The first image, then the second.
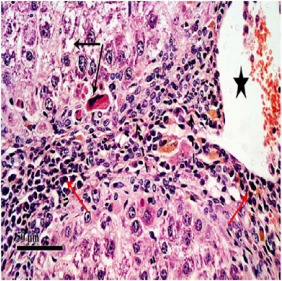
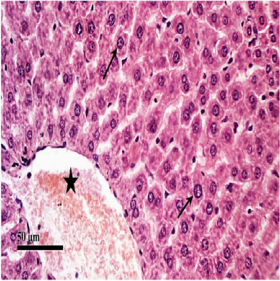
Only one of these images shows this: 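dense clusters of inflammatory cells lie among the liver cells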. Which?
the first image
